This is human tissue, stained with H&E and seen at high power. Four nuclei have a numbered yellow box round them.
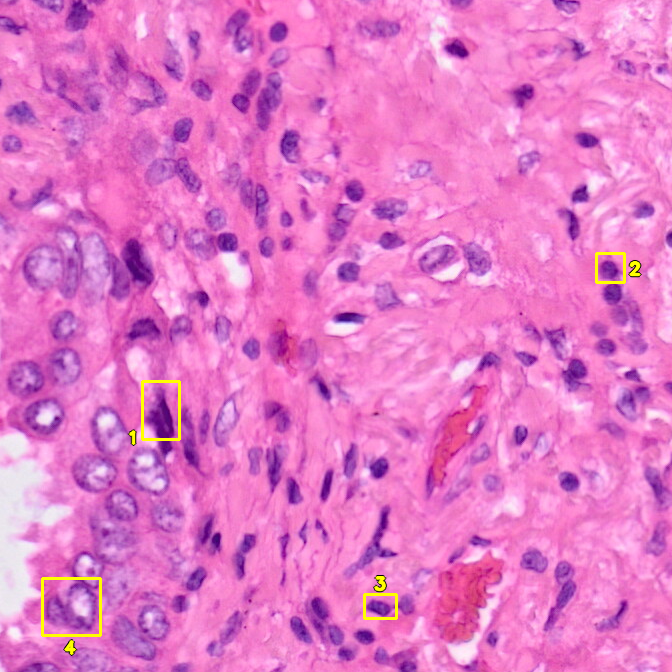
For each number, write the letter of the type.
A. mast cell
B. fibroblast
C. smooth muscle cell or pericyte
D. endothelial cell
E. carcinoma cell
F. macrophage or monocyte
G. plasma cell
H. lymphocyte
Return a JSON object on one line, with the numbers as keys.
{"1": "E", "2": "H", "3": "H", "4": "E"}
